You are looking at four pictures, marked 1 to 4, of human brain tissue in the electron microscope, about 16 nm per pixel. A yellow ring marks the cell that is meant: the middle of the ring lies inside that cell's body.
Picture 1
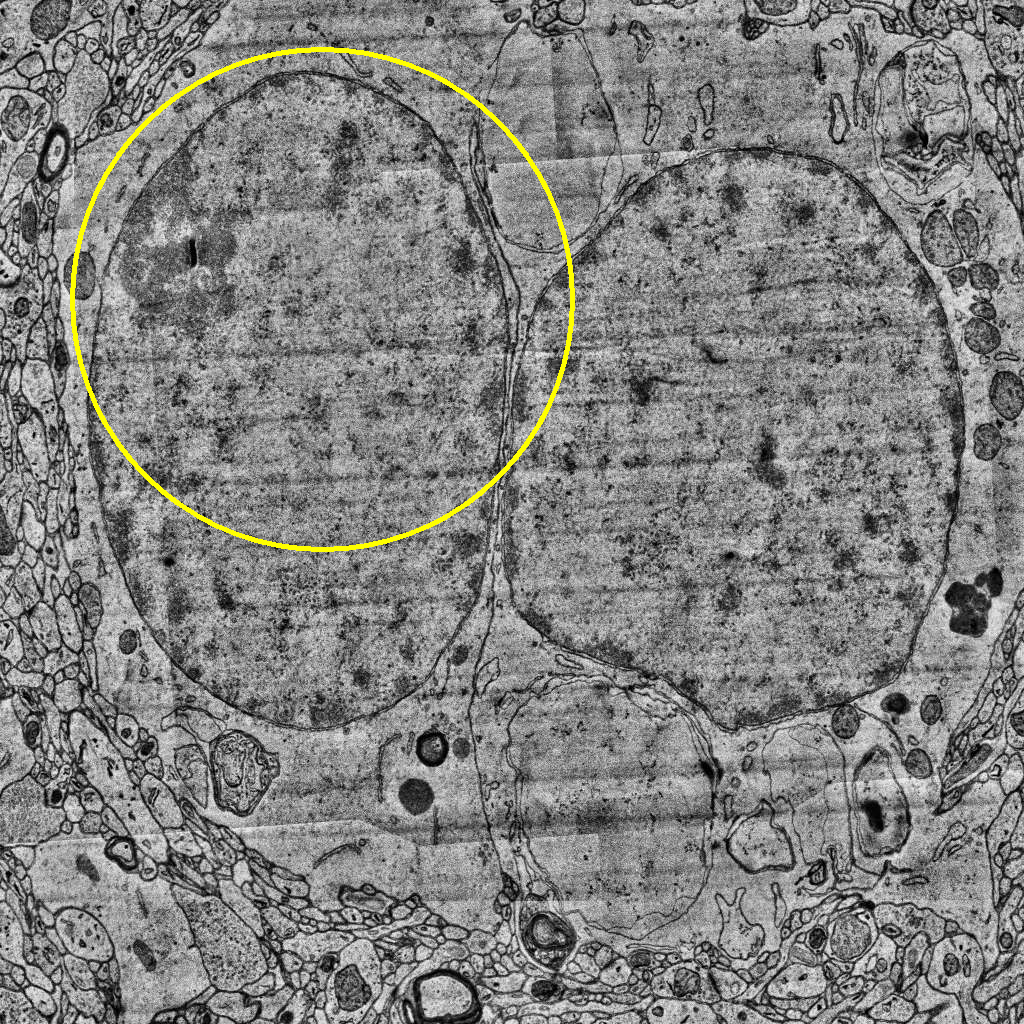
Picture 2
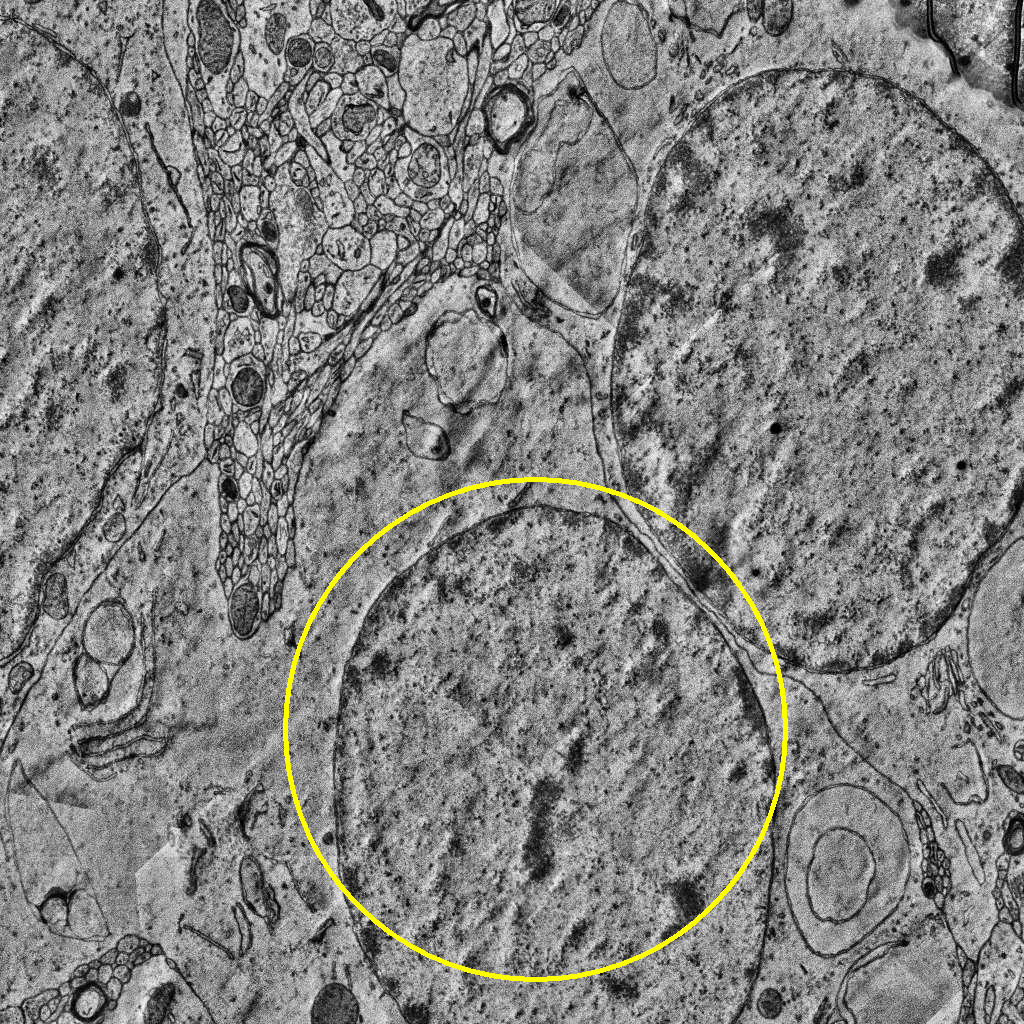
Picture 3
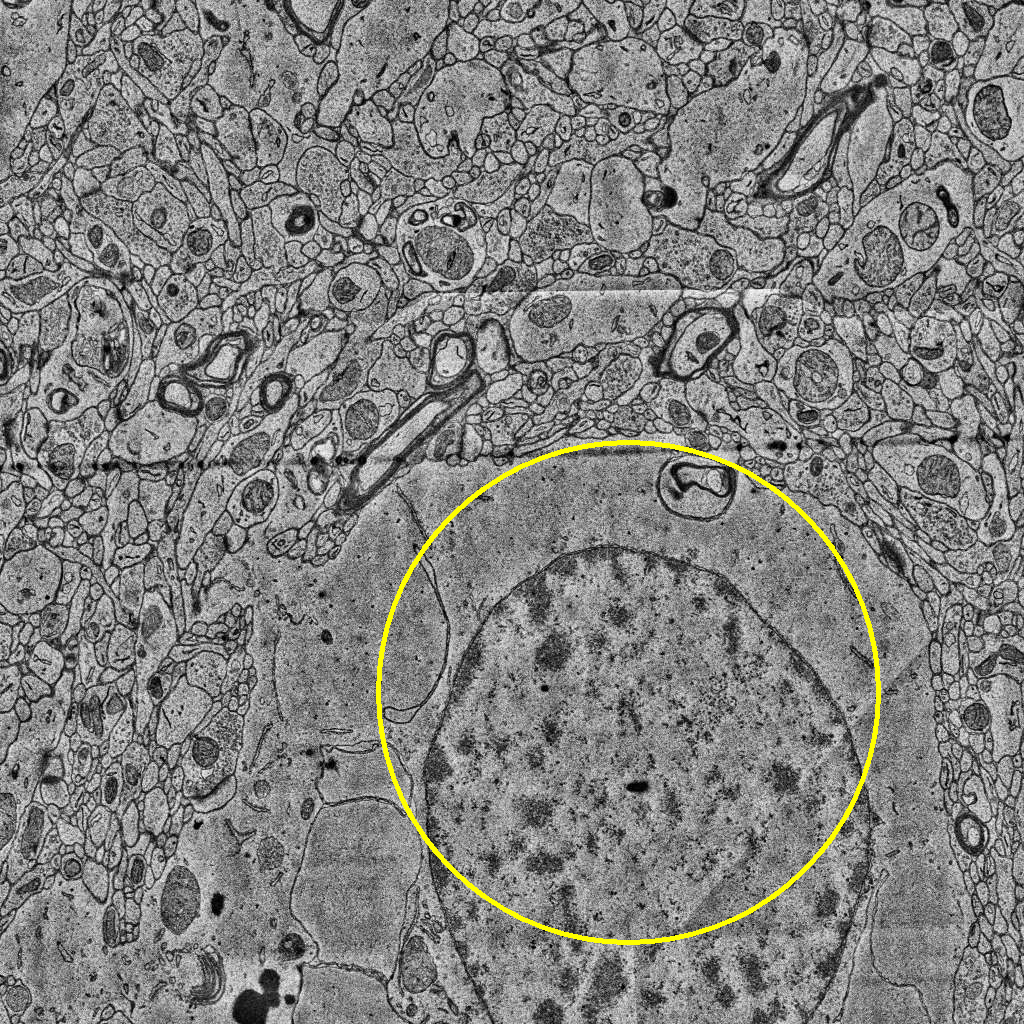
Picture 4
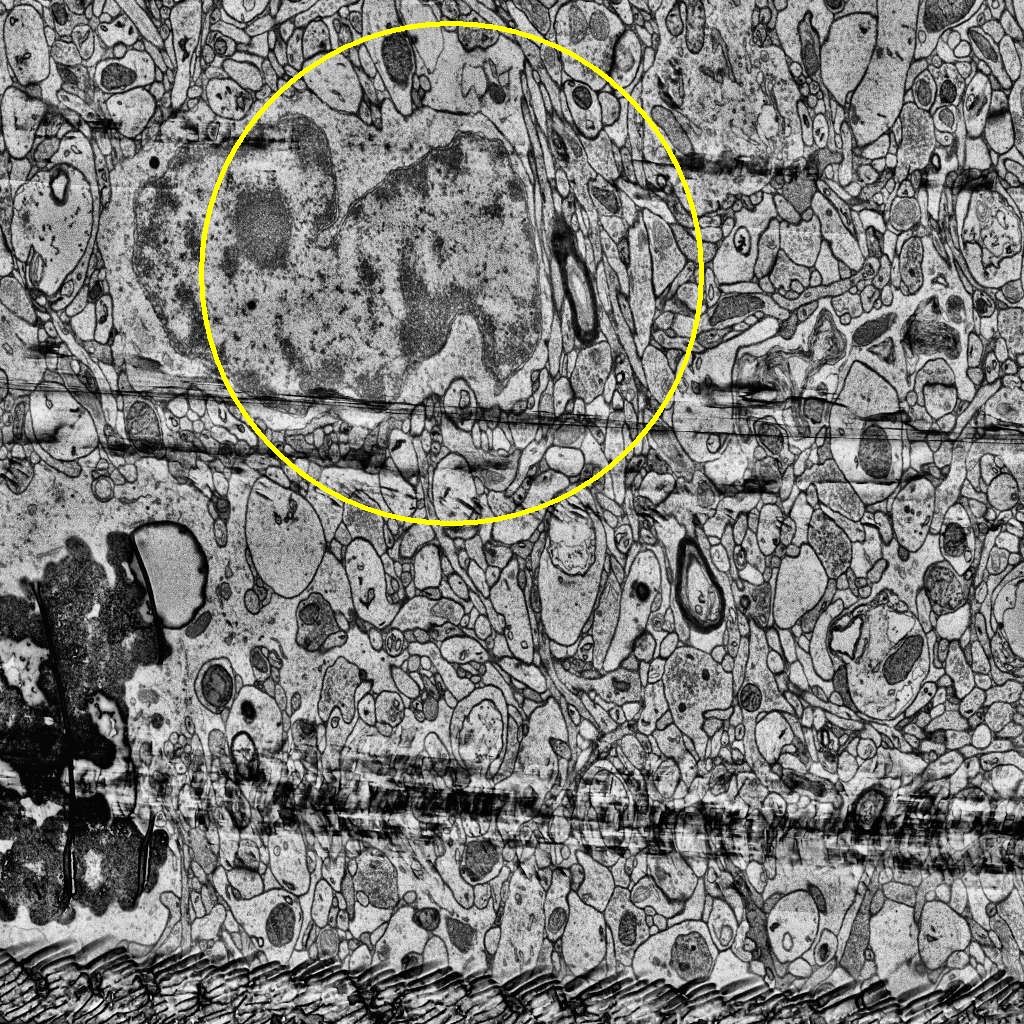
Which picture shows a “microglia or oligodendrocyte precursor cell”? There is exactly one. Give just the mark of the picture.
4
